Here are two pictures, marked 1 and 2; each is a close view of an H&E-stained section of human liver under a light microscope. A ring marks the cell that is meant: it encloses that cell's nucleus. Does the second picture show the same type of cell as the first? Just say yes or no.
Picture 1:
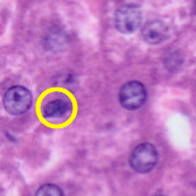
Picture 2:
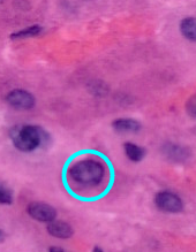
no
